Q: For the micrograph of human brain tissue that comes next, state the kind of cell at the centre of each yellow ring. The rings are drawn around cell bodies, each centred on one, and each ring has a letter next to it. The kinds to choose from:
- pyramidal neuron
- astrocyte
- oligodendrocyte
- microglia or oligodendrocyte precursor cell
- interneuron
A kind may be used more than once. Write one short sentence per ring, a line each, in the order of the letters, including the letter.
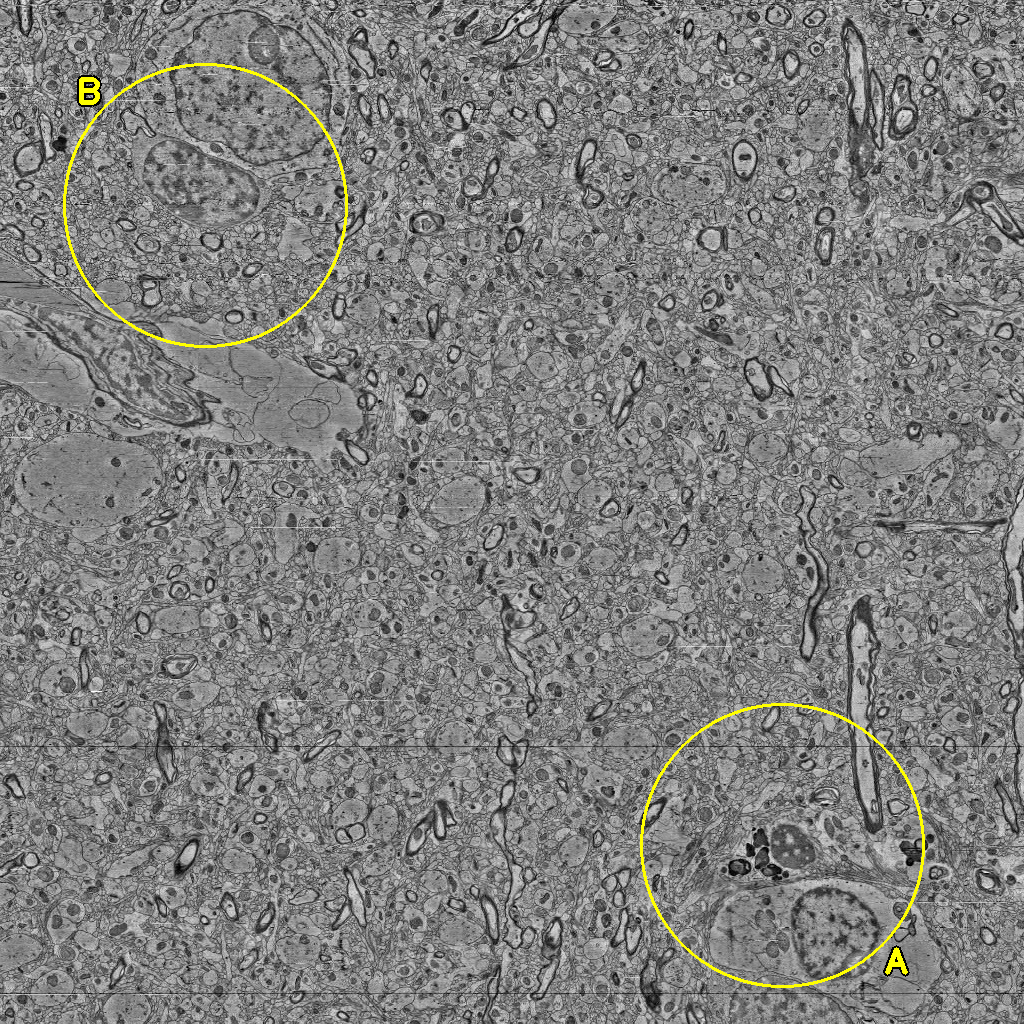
The cell ringed as A is a microglial cell or oligodendrocyte precursor cell.
The cell ringed as B is an oligodendrocyte.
